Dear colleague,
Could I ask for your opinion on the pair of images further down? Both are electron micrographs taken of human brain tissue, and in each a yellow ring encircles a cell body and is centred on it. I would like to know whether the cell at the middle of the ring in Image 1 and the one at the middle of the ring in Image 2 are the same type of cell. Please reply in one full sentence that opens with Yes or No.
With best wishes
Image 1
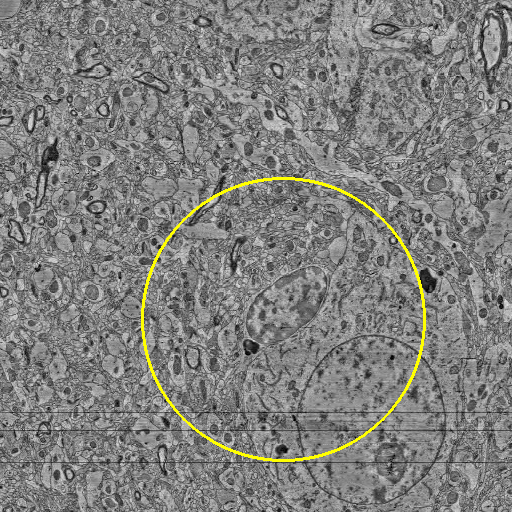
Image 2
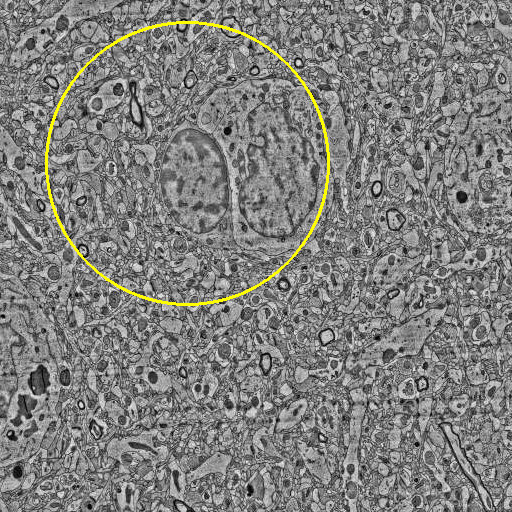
No, the cells at the ring centres in Image 1 and Image 2 are of two types.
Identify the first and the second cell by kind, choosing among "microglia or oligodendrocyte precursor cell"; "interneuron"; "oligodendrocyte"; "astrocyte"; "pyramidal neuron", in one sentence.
The one in the first picture is a microglial cell or oligodendrocyte precursor cell, while the one in the second is an oligodendrocyte.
